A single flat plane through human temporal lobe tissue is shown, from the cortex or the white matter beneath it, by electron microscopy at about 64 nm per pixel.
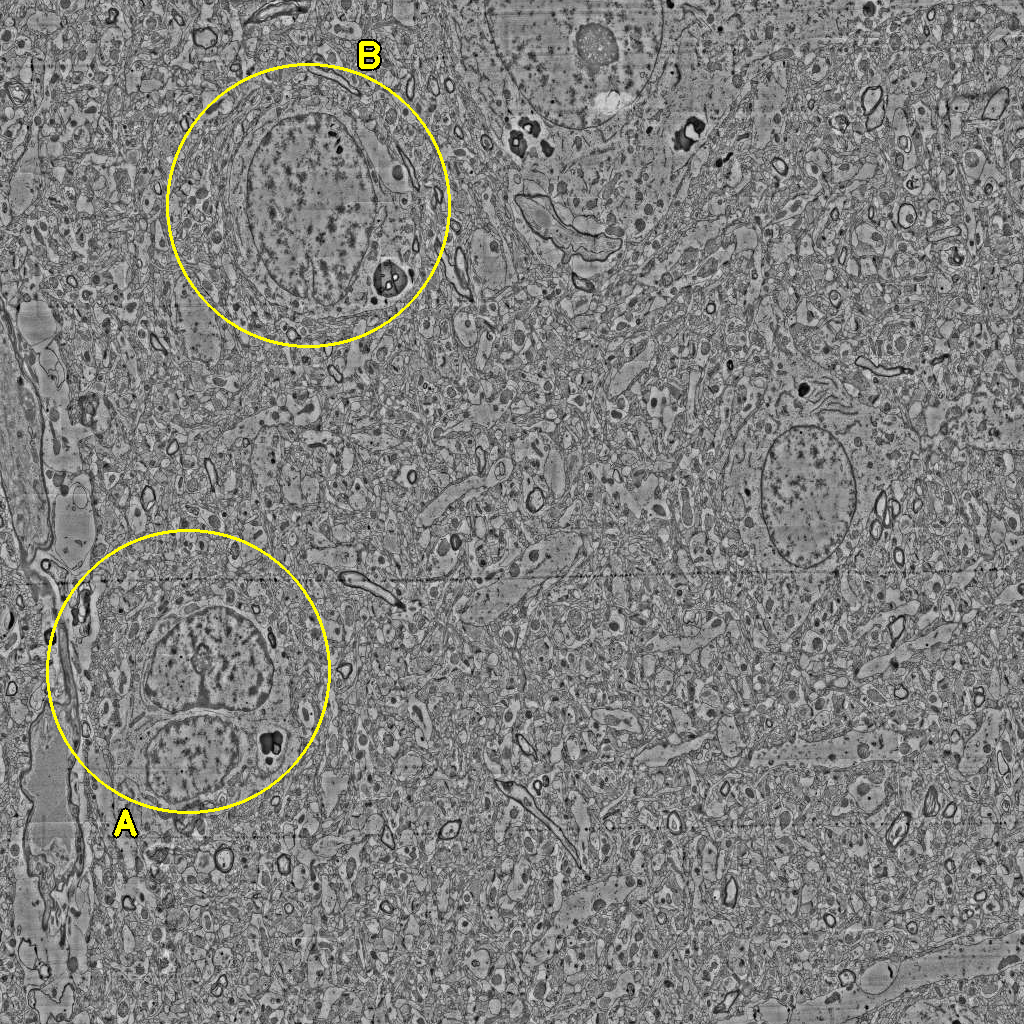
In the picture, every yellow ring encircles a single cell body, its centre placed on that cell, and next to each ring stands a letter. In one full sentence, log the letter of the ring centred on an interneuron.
The ring with the requested cell at its centre bears the letter B.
